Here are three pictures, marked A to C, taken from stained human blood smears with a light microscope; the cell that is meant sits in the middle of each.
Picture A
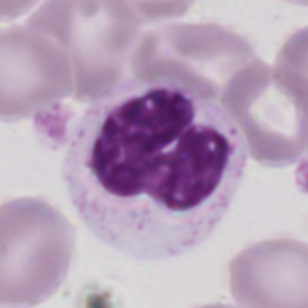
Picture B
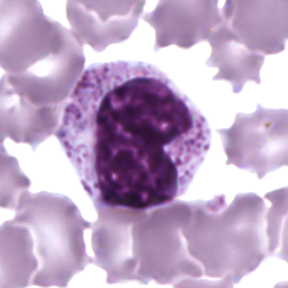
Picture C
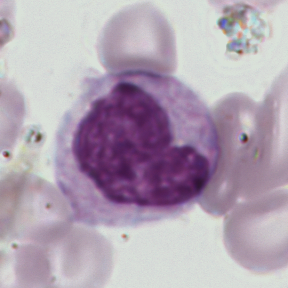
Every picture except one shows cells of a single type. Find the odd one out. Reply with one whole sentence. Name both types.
Unlike the rest, which show band neutrophils, picture B shows a metamyelocyte.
